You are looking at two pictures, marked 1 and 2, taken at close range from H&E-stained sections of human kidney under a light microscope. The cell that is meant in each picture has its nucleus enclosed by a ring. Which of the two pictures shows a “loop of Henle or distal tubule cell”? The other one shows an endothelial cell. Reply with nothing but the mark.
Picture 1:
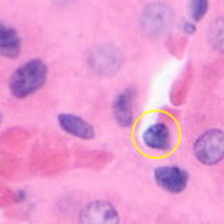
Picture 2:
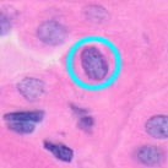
2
